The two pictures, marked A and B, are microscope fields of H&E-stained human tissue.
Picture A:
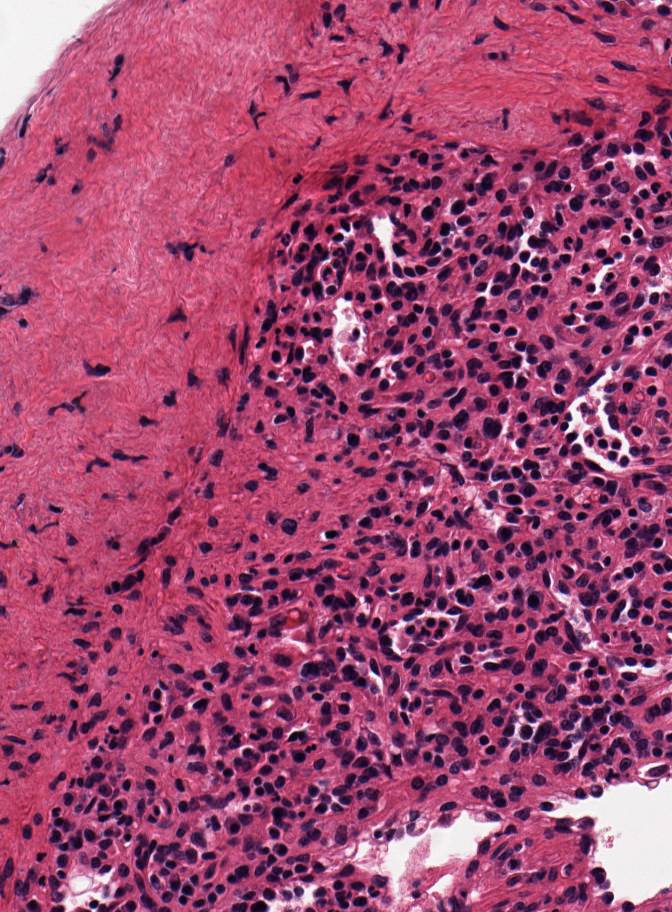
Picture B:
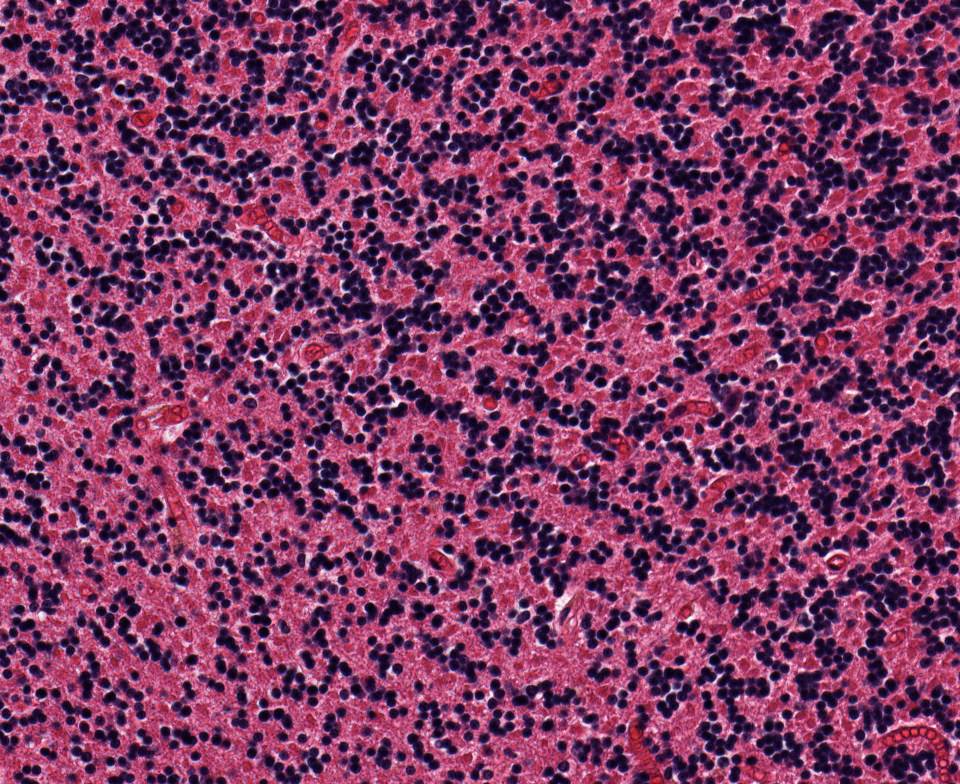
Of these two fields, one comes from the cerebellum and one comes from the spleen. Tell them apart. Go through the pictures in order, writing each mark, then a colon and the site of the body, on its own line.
A: spleen
B: cerebellum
